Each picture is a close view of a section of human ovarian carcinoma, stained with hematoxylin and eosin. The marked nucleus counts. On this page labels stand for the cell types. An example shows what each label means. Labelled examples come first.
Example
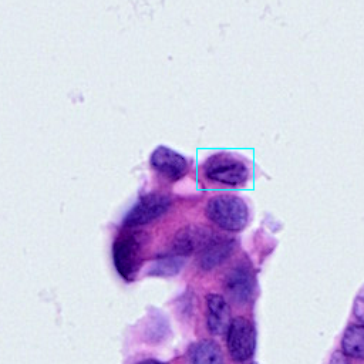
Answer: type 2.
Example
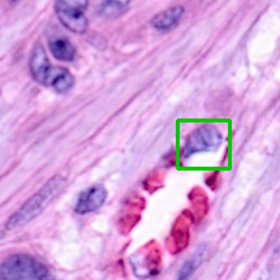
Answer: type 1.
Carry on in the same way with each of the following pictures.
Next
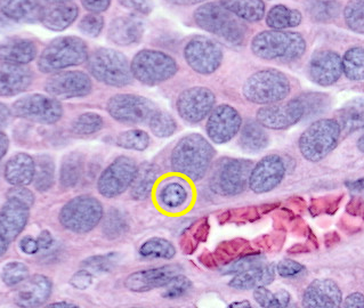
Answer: type 2.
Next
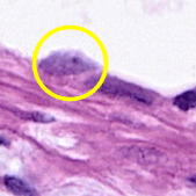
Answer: type 1.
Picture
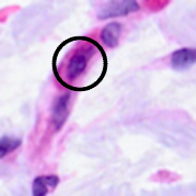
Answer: type 1.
